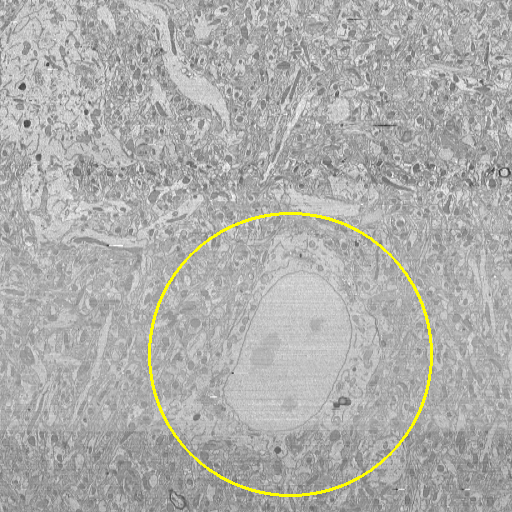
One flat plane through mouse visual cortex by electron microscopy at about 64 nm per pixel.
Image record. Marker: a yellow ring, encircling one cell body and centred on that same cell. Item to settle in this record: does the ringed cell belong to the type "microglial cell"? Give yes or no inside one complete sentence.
No, in the picture, the cell centred within the yellow ring is of a different type.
